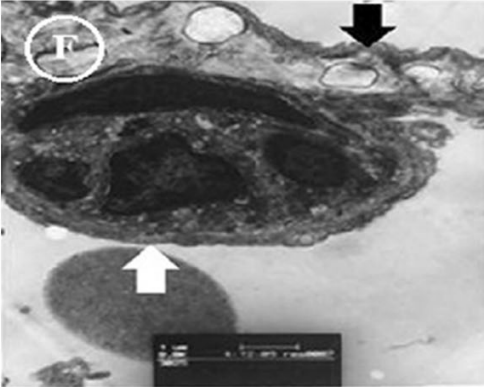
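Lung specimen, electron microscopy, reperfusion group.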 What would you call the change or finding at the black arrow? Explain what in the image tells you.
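The thin cell layer at the top contains several clear round vacuoles.
Answer: vacuoles degeneration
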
